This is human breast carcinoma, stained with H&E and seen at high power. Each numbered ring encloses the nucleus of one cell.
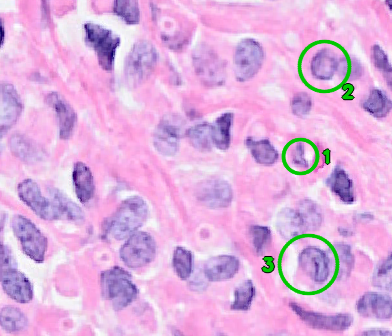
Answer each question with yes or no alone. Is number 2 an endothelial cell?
no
